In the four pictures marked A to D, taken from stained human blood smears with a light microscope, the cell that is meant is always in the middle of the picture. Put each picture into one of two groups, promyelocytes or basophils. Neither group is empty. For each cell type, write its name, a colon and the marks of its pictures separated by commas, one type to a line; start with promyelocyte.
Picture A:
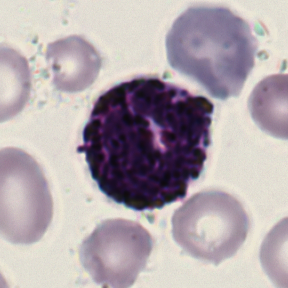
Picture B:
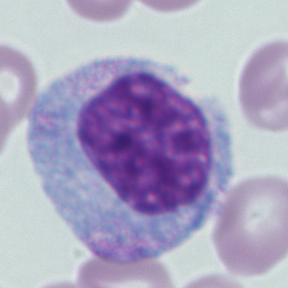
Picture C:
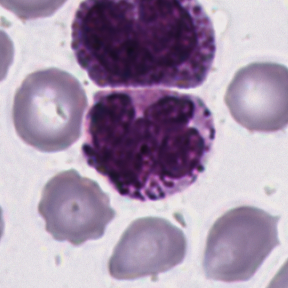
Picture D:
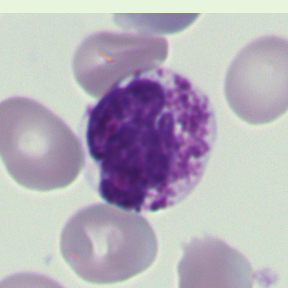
promyelocyte: B
basophil: A, C, D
